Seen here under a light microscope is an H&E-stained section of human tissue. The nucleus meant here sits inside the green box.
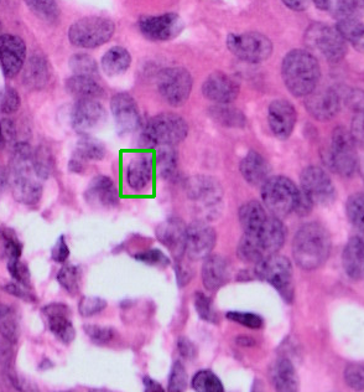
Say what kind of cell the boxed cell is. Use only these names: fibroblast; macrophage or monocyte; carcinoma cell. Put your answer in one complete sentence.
The boxed cell is a macrophage or monocyte.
